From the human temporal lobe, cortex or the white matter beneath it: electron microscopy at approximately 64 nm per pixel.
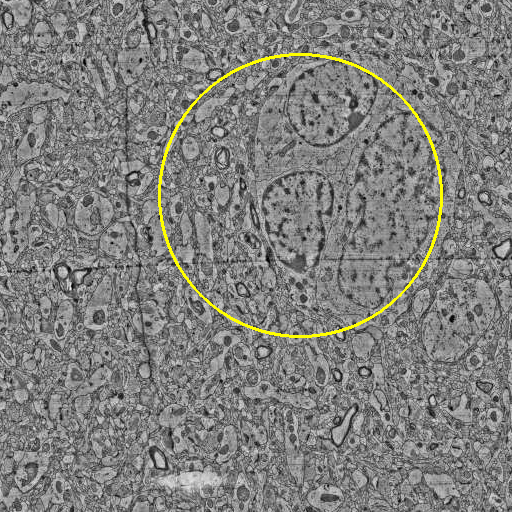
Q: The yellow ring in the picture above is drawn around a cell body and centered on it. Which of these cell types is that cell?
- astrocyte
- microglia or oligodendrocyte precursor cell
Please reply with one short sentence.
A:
The cell body at the ring's center belongs to a microglial cell or oligodendrocyte precursor cell.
